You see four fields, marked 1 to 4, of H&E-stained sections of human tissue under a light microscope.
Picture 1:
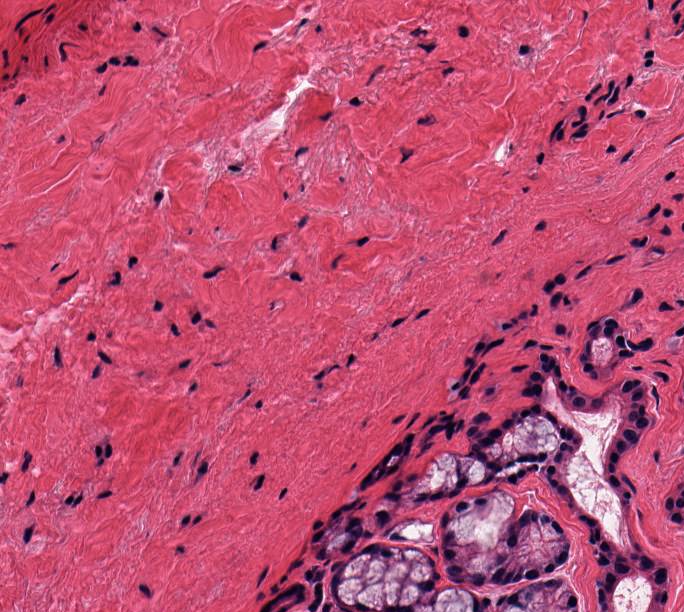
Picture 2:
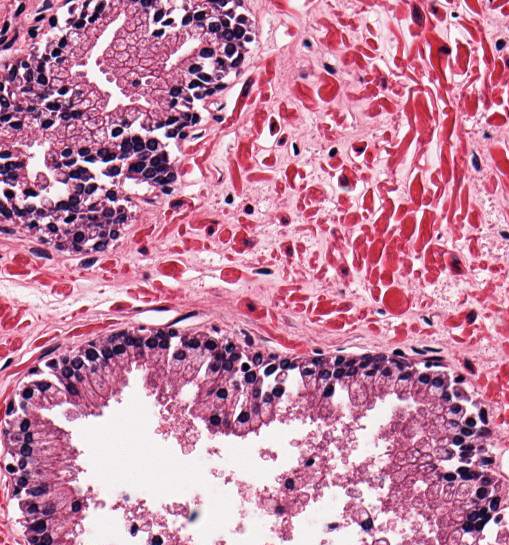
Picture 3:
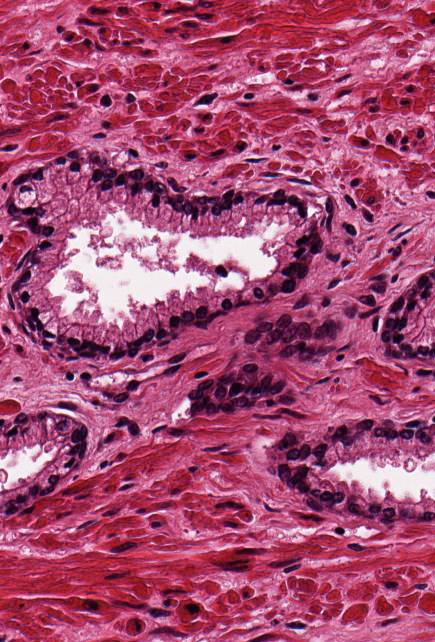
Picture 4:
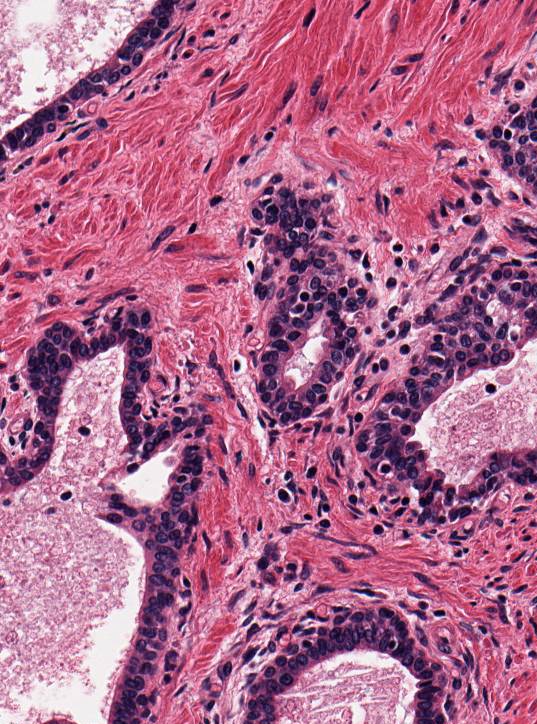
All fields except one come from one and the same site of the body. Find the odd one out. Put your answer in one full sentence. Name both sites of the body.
All pictures except 1 come from the prostate; picture 1 comes from a minor salivary gland.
